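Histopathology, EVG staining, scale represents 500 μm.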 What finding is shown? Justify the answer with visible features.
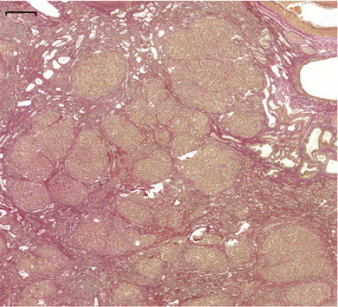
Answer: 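The parenchyma is broken up into many rounded yellow-tan nodules. Each nodule is ringed by broad pink-red fibrous bands. The bands link up into a continuous network around the nodules.
Answer: liver cirrhosis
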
